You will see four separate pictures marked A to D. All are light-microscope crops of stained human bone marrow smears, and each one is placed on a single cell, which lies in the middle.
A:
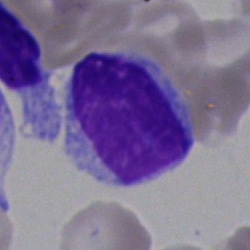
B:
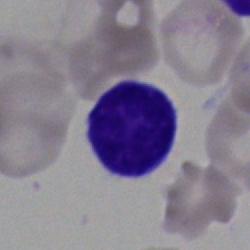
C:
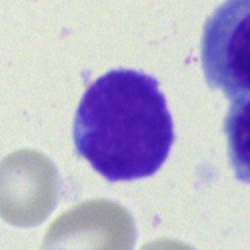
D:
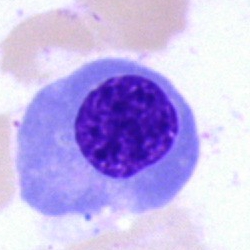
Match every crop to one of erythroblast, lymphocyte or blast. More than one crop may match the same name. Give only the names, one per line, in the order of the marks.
lymphocyte
lymphocyte
lymphocyte
erythroblast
